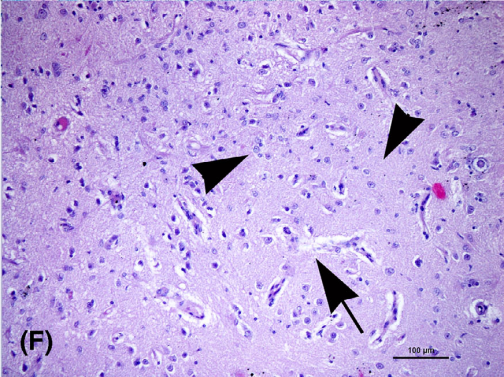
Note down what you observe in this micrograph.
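Pink grey-matter neuropil is crowded with many small thin-walled capillary profiles lined by elongated nuclei, lying closer together than usual. Between them lie numerous small round and oval glial nuclei. This dense network of microvessels with many glial cells corresponds to neovascularization accompanied by gliosis.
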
